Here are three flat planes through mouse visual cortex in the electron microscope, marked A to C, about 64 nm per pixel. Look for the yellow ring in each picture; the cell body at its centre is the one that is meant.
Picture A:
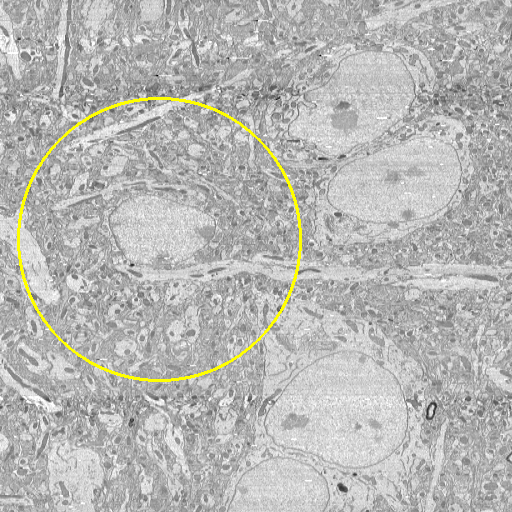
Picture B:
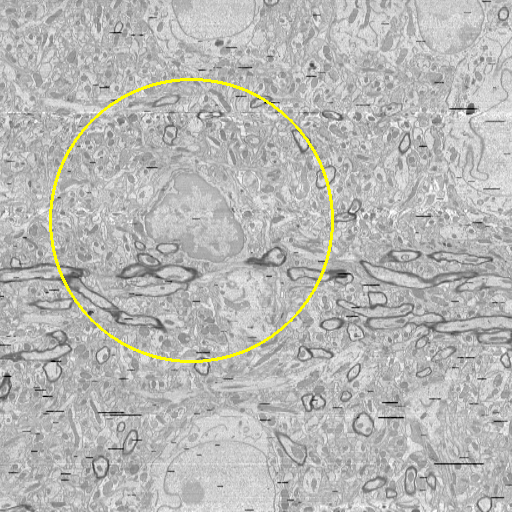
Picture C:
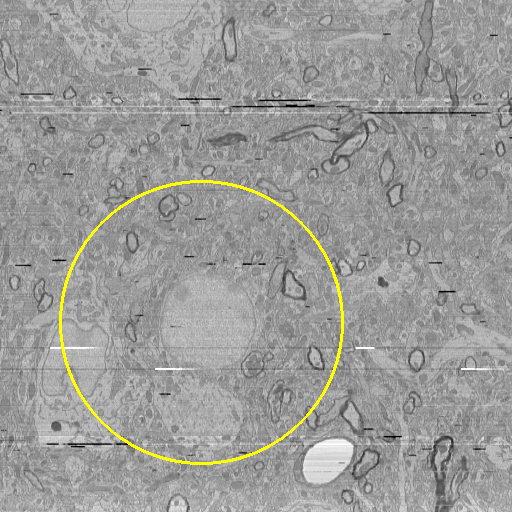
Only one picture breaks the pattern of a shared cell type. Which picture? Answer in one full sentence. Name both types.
The others show astrocytes, but picture B shows a microglial cell.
